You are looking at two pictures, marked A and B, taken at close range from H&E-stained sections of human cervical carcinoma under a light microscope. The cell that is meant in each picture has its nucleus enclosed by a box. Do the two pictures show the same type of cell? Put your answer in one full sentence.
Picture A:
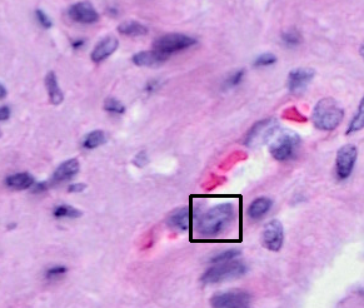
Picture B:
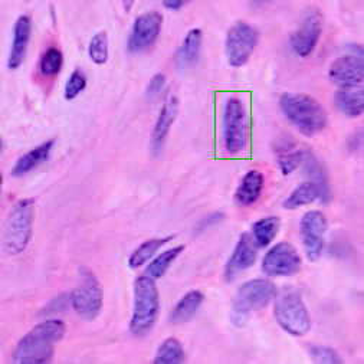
No, the types are not the same, since picture A shows an endothelial cell and picture B a fibroblast.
